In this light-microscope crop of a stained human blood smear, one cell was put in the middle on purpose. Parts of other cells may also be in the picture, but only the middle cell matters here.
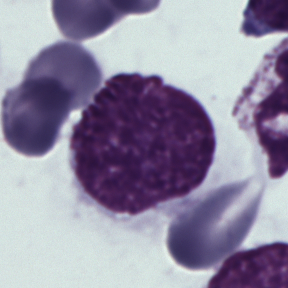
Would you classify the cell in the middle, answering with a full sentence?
The cell the crop is centered on is a blast.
